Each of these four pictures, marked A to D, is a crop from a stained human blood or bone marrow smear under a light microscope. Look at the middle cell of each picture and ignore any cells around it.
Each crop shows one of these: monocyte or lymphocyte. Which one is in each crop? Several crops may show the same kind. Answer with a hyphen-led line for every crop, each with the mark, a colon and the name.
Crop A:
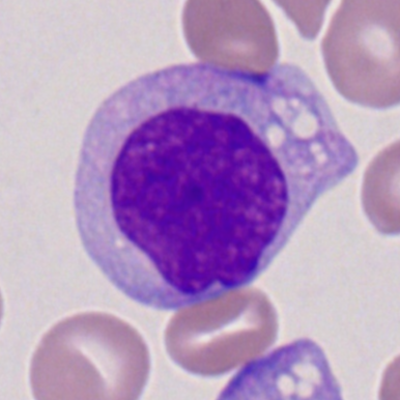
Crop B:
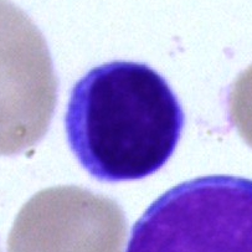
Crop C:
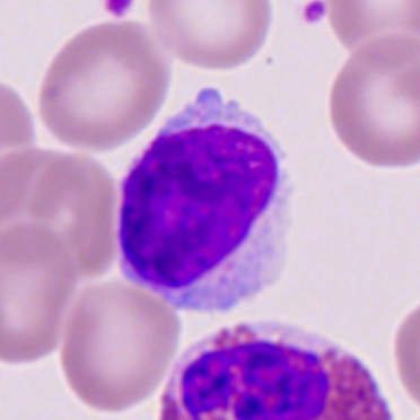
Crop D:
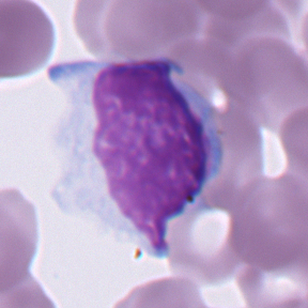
- A: monocyte
- B: lymphocyte
- C: lymphocyte
- D: lymphocyte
